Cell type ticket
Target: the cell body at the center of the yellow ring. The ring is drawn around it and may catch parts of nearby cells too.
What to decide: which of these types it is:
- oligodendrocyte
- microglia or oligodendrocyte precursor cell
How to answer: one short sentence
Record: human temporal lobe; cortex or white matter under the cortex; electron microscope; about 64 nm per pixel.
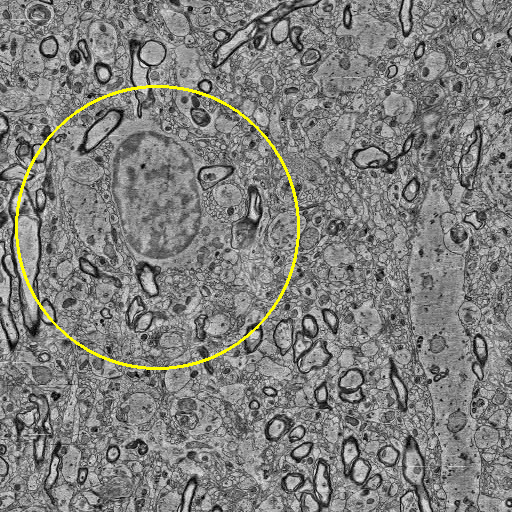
The cell at the center of the ring is an oligodendrocyte.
